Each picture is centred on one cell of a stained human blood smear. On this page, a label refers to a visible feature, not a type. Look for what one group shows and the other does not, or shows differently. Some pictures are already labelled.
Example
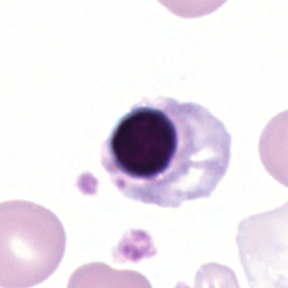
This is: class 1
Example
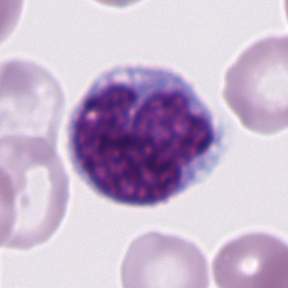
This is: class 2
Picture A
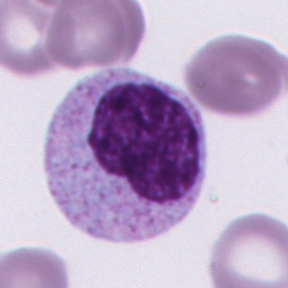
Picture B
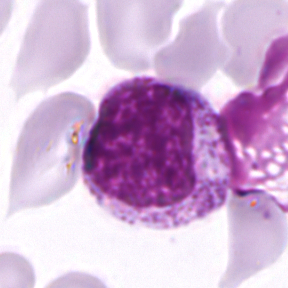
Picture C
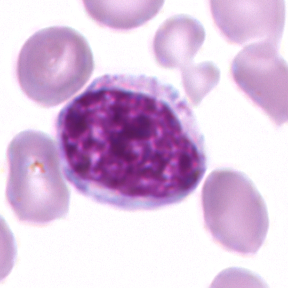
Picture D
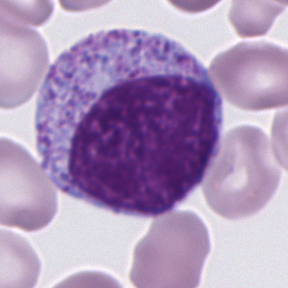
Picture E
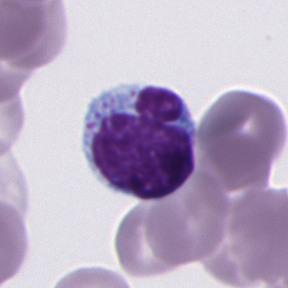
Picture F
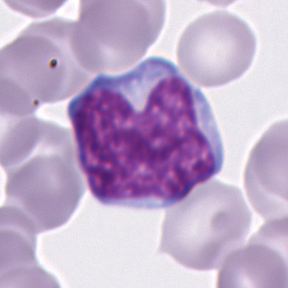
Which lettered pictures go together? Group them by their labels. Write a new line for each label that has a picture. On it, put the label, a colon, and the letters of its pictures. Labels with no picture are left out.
class 1: A, D
class 2: B, C, E, F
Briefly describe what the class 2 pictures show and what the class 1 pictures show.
class 2: scant cytoplasm; class 1: abundant cytoplasm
